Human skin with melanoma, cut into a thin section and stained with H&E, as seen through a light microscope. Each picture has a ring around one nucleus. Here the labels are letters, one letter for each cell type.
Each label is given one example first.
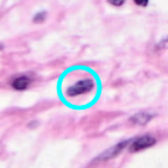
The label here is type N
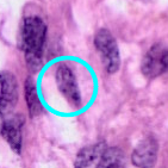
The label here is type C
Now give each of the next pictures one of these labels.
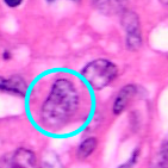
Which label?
type C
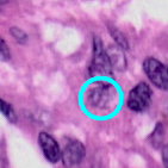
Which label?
type C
